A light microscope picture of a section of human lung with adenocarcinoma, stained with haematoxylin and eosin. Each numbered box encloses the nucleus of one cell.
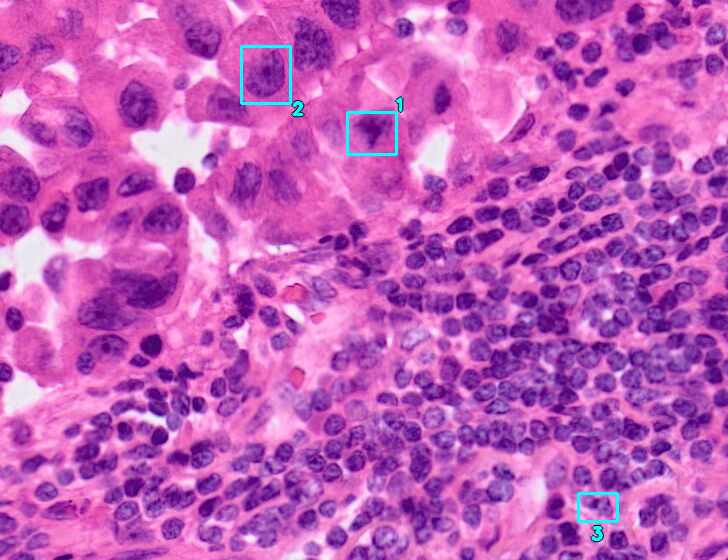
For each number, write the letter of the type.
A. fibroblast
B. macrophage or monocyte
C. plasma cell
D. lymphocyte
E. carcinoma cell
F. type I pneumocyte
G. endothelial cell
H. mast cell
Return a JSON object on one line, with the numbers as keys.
{"1": "E", "2": "E", "3": "D"}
